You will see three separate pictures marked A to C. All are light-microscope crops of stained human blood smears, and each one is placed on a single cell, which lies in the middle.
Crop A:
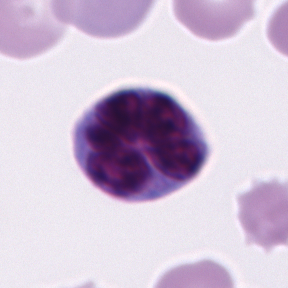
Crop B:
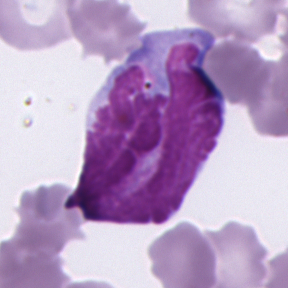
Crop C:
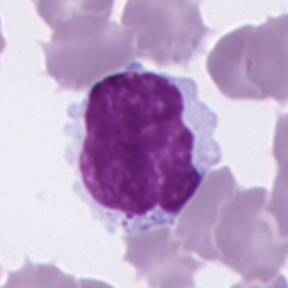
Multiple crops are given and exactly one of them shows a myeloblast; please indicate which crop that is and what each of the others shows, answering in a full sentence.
Crop B goes down as a myeloblast, while crop A is a normoblast and crop C is a typical lymphocyte.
